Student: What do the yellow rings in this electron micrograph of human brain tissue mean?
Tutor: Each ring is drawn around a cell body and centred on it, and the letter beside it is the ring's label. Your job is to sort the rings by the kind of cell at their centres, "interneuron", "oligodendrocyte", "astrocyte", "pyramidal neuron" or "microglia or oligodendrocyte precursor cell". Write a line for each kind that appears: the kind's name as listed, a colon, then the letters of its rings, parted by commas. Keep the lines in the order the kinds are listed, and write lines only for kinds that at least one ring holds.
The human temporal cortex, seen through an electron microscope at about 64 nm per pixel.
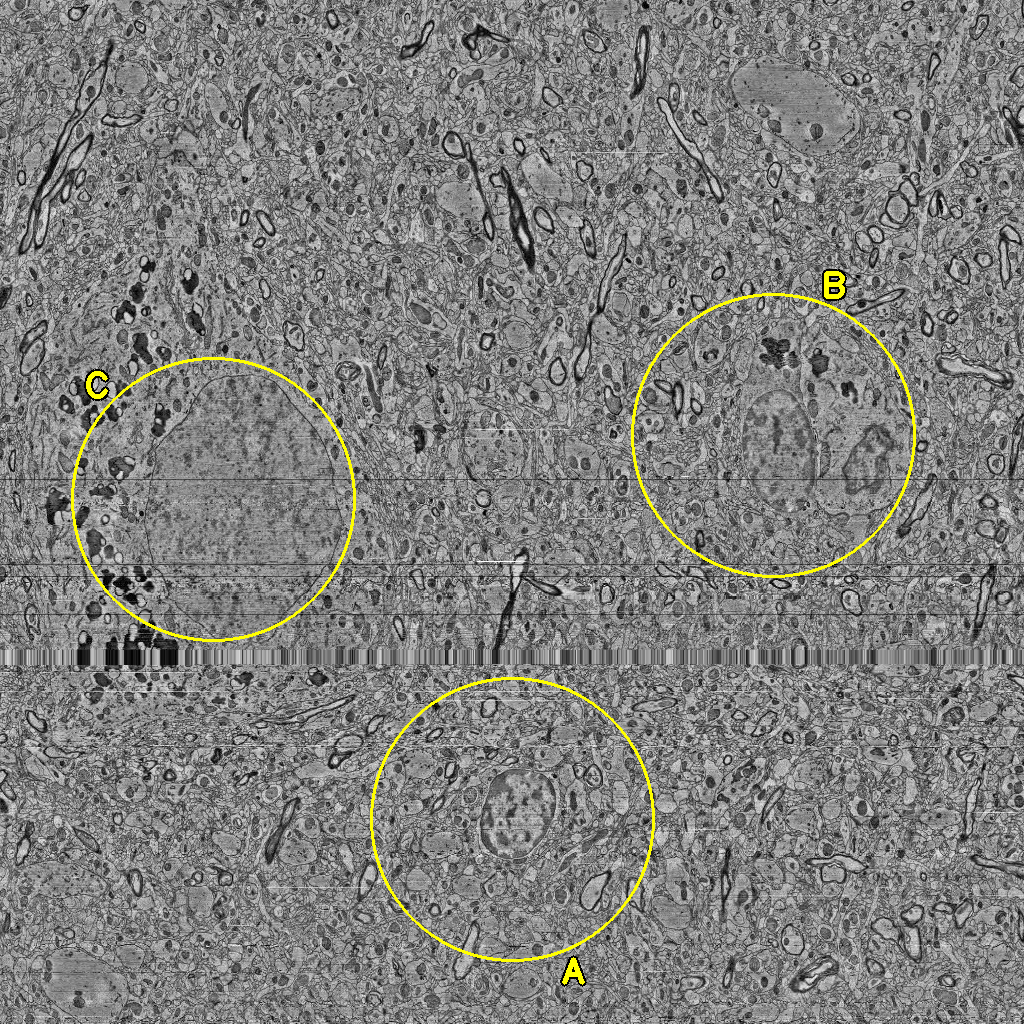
oligodendrocyte: B
pyramidal neuron: C
microglia or oligodendrocyte precursor cell: A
